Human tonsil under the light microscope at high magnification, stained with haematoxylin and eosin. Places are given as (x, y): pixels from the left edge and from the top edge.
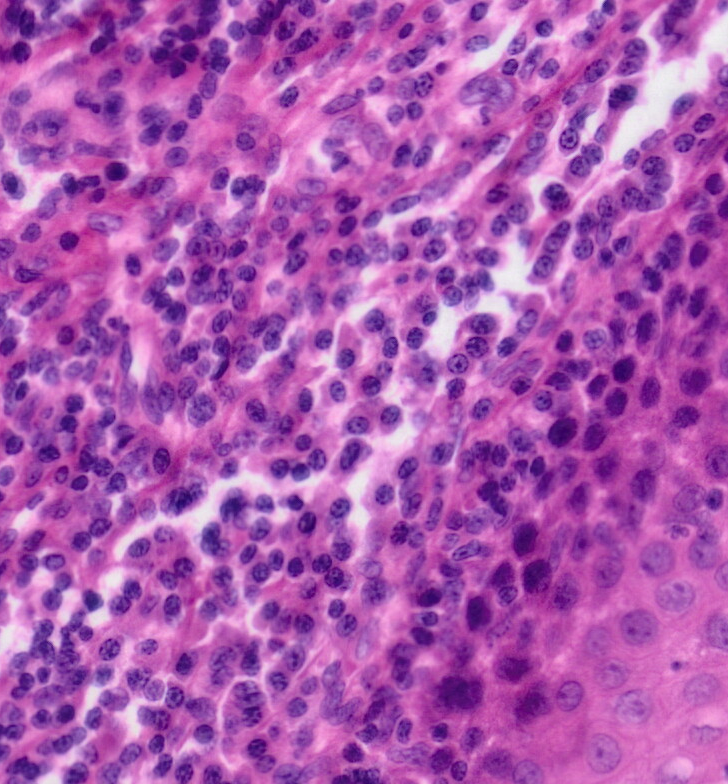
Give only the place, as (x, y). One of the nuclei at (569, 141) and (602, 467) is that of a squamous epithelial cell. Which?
(602, 467)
